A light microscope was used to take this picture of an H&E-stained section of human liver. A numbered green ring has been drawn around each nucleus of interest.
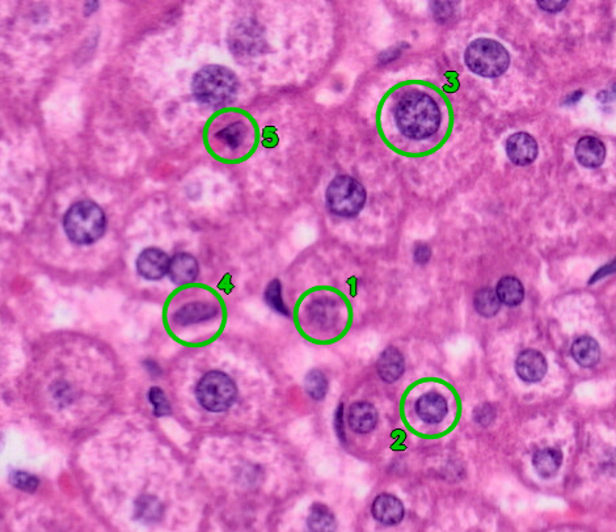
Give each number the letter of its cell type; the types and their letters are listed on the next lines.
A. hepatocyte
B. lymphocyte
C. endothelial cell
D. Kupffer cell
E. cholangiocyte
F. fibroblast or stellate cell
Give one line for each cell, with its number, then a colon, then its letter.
1: A
2: A
3: A
4: D
5: C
